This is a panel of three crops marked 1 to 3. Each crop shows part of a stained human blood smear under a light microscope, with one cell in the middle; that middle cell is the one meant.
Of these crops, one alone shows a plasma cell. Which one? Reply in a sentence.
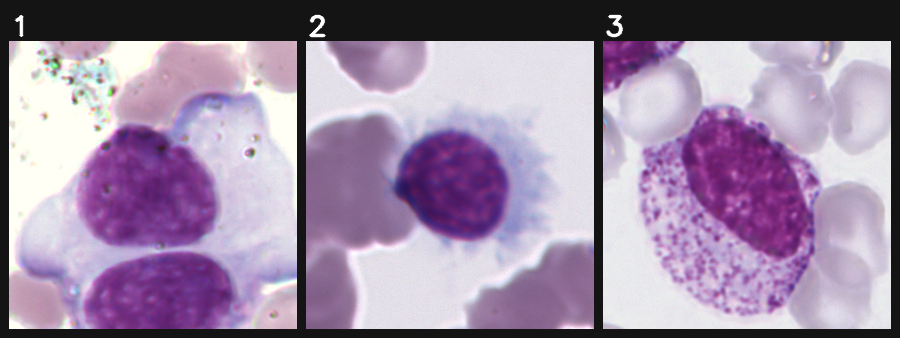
Look at crop 1; that is the one with a plasma cell in its center.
